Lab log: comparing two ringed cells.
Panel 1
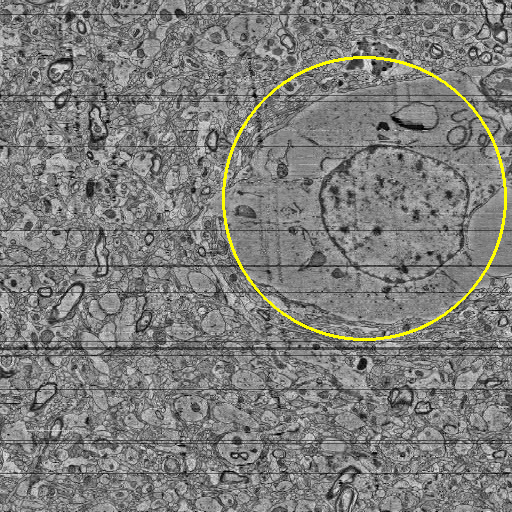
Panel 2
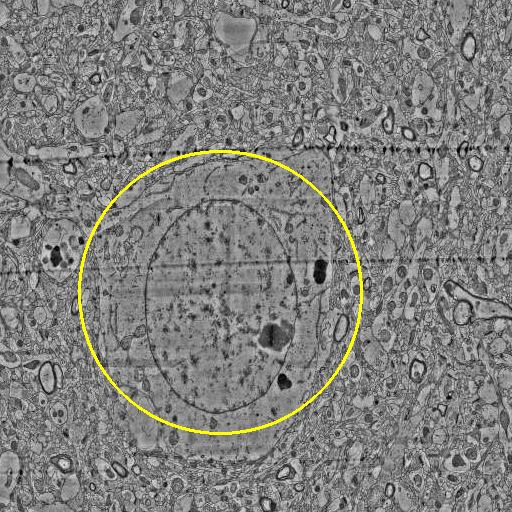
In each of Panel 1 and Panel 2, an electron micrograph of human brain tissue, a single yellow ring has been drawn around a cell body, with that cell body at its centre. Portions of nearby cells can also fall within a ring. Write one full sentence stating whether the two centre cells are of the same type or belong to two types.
The cells at the ring centres in Panel 1 and Panel 2 belong to two types.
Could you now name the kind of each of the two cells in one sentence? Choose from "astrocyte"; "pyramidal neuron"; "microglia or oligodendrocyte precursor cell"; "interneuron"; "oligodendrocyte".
The first ring encloses an astrocyte; the second ring encloses a pyramidal neuron.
